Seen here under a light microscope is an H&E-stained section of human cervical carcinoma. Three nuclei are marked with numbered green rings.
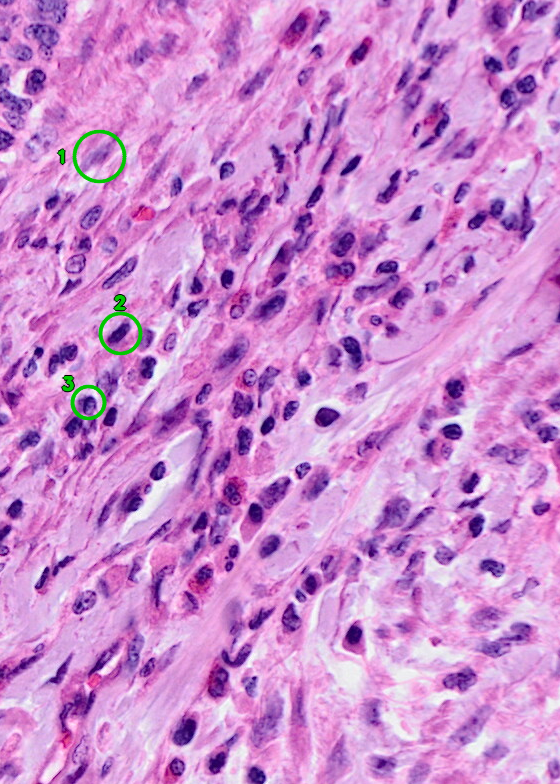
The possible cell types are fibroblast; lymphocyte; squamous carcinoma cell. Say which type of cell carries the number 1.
fibroblast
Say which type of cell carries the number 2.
lymphocyte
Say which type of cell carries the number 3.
lymphocyte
